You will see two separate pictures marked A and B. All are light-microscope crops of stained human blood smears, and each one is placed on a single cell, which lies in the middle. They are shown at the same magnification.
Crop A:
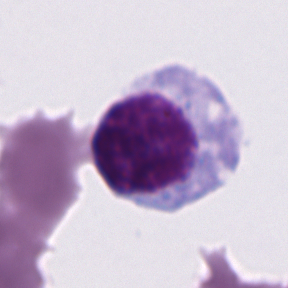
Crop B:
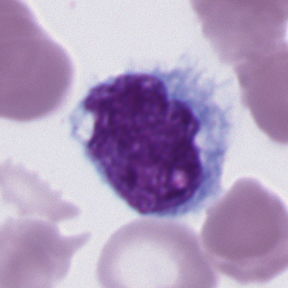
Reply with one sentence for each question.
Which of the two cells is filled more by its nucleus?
The nucleus fills more of the cell in crop B than in crop A.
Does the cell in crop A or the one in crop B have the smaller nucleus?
Crop A shows the smaller nucleus, since that in crop B covers about 1.5 times as much area.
